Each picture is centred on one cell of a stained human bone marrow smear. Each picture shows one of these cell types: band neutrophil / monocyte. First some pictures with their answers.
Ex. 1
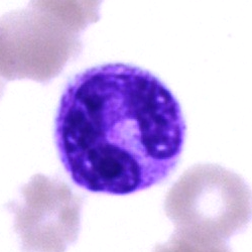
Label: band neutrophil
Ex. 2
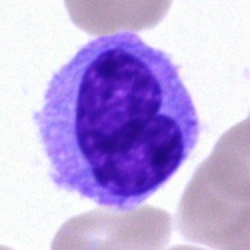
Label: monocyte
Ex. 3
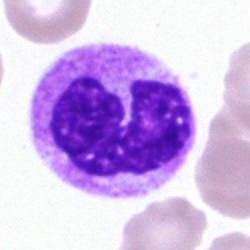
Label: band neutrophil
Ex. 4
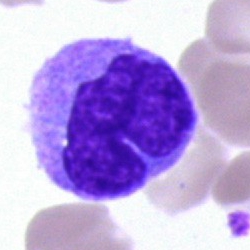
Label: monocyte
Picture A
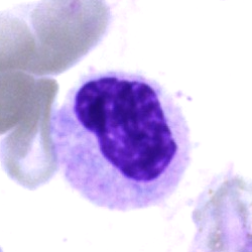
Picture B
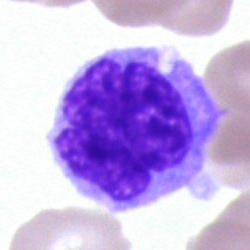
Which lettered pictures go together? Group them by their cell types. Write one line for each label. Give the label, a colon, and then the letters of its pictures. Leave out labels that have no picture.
band neutrophil: A
monocyte: B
